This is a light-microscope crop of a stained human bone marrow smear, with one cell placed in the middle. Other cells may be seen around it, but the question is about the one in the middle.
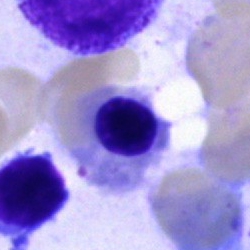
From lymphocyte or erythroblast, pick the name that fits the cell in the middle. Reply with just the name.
erythroblast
